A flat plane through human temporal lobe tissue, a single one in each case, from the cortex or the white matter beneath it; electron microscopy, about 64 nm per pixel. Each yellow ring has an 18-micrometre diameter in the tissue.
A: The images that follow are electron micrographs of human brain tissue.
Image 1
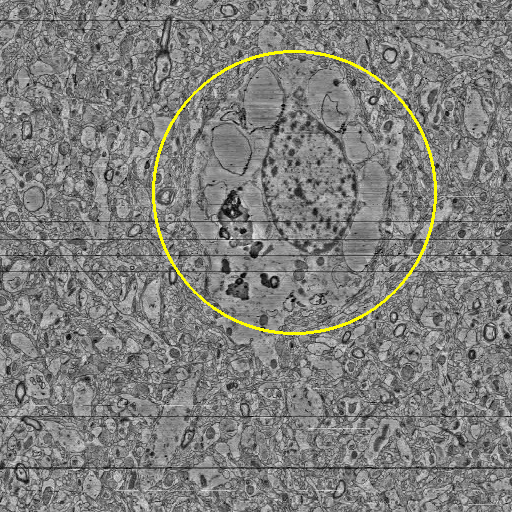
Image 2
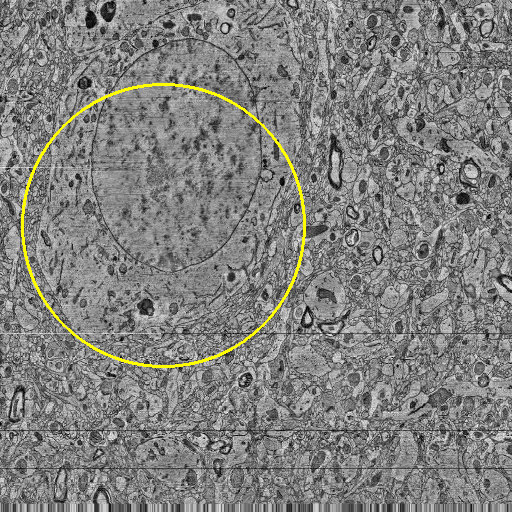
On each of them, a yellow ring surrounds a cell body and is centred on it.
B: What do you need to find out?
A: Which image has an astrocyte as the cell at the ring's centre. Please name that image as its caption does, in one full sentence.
Image 1 is the one whose ring has the sought cell at its centre.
